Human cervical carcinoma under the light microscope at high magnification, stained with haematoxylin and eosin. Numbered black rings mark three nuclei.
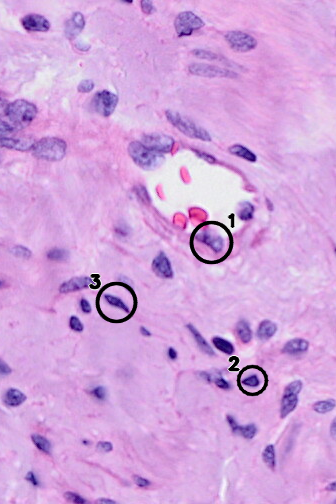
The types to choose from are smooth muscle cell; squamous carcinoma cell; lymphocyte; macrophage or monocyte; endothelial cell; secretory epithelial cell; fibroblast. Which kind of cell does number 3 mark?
fibroblast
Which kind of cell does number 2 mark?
fibroblast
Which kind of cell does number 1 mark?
endothelial cell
